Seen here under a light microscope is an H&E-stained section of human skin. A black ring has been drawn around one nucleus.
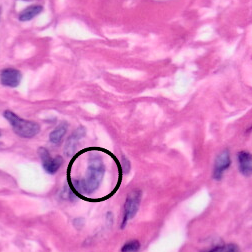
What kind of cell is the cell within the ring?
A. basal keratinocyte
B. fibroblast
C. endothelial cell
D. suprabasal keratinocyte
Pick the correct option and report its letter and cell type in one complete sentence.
The correct choice is option C; the cell within the ring is an endothelial cell.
